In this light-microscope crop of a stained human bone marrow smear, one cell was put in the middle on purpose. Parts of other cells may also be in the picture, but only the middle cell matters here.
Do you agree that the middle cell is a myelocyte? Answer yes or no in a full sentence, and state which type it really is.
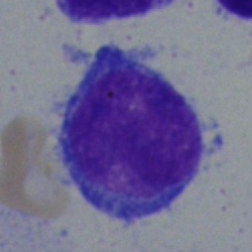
No, at the middle of the crop is a blast, not a myelocyte.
